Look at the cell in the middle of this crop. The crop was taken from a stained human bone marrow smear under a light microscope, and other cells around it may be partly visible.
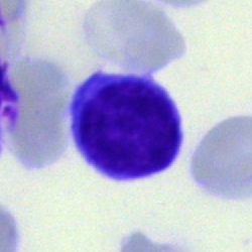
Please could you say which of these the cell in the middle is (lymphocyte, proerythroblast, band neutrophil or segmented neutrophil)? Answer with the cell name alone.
lymphocyte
